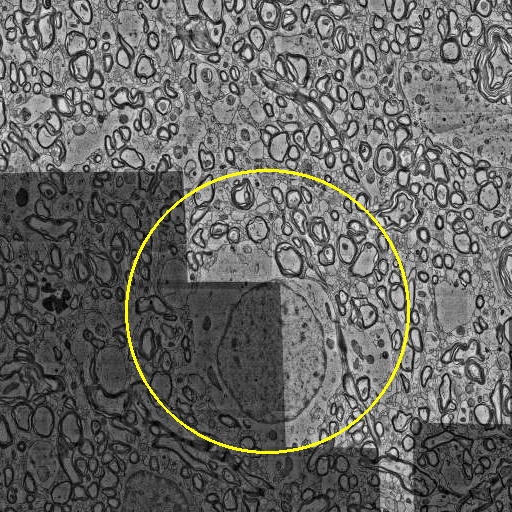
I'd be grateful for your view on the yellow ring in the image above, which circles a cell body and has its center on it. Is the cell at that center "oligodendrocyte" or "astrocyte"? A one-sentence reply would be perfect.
The cell at the center of the yellow ring is an astrocyte.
